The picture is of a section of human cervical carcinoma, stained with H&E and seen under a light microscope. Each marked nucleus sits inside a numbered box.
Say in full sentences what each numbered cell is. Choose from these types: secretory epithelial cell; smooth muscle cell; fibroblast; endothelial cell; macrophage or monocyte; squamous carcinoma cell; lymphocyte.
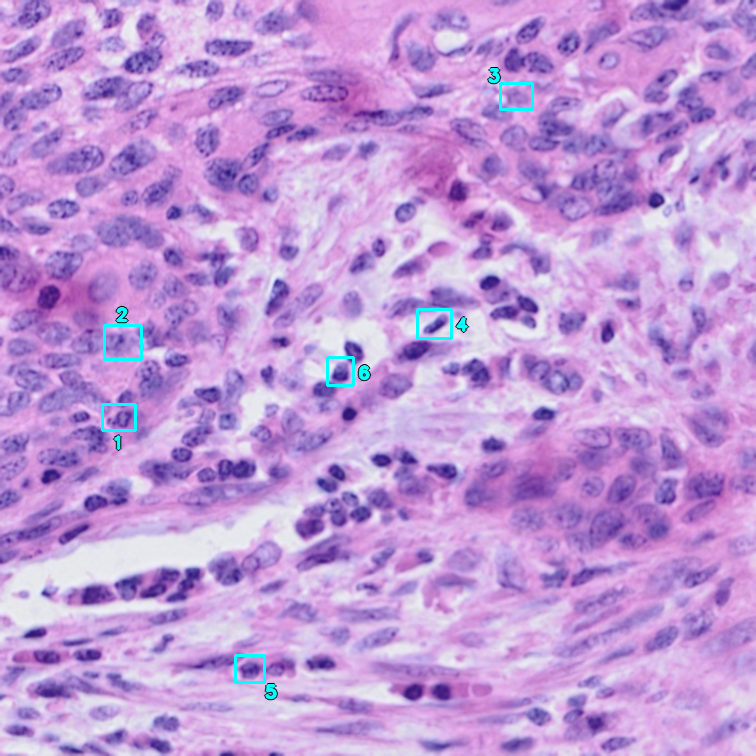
Cells 1, 2 and 3 are squamous carcinoma cells. Cells 4, 5 and 6 are lymphocytes.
